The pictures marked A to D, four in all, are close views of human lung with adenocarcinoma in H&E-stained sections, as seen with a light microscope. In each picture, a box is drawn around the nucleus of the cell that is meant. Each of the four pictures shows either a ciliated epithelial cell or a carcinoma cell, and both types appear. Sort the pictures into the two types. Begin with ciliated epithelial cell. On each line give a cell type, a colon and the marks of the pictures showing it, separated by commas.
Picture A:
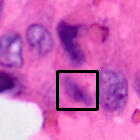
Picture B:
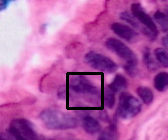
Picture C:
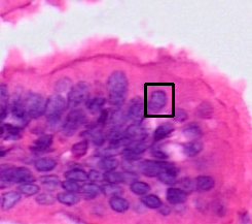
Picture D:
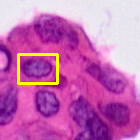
ciliated epithelial cell: B, C
carcinoma cell: A, D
